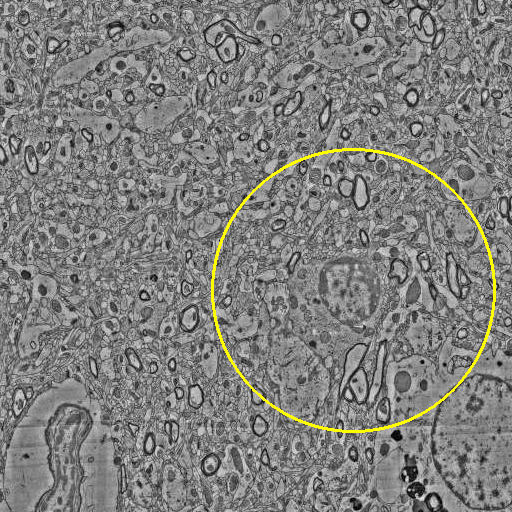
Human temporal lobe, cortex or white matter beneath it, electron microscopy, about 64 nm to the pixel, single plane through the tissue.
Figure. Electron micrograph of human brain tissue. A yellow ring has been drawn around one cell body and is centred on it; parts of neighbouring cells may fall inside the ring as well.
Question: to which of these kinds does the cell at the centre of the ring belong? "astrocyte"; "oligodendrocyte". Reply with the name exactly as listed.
oligodendrocyte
